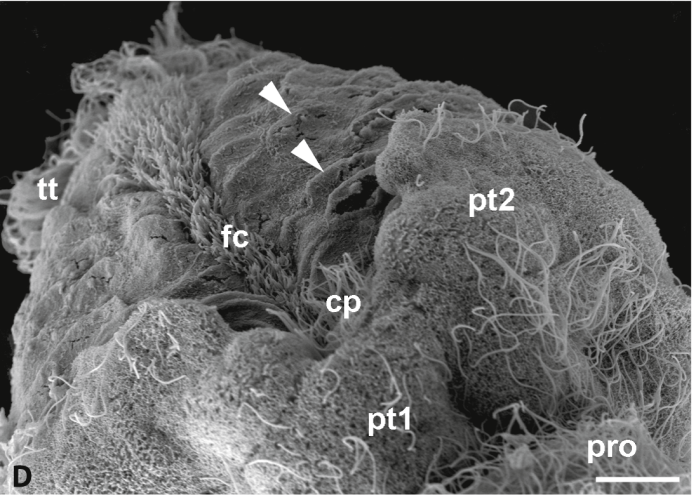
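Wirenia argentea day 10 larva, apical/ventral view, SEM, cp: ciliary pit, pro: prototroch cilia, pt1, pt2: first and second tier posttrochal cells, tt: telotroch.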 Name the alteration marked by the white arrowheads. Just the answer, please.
Epidermal sclerites are still covered by cuticle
